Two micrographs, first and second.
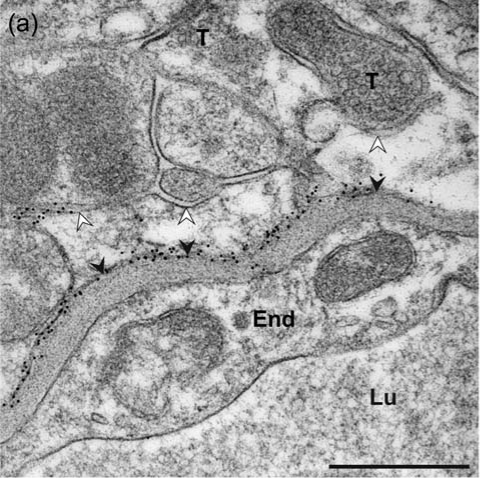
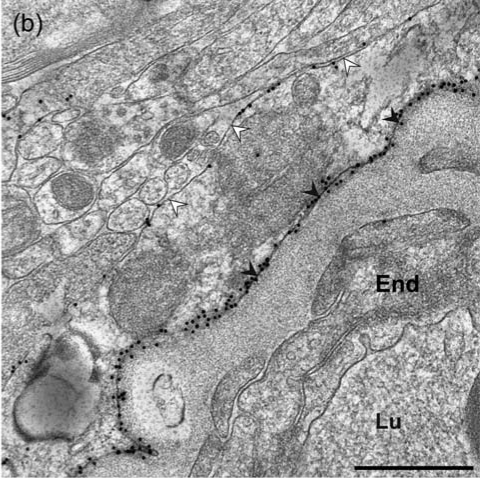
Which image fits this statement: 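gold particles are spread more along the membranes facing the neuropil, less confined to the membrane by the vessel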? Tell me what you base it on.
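Second image: gold particles line the vessel-facing membrane and also appear along several membranes in the neuropil. First image: gold particles are concentrated on the vessel-facing membrane with few elsewhere. So: the second image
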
